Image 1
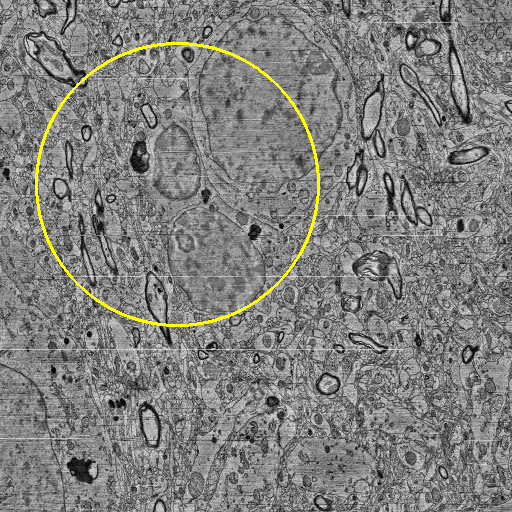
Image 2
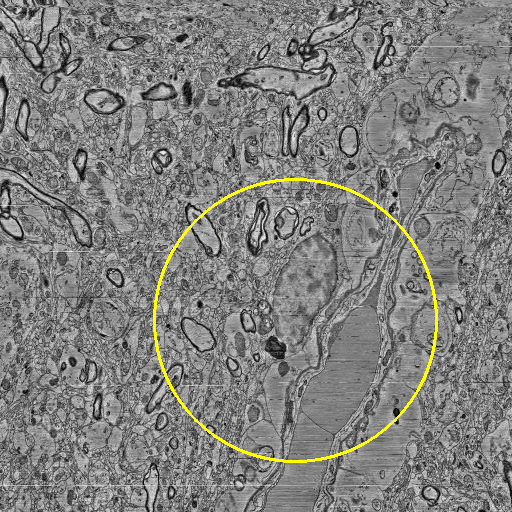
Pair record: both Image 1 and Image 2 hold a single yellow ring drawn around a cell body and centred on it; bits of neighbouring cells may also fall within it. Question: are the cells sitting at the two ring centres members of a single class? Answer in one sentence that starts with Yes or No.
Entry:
Yes, both ring-centre cells in Image 1 and Image 2 are members of one class.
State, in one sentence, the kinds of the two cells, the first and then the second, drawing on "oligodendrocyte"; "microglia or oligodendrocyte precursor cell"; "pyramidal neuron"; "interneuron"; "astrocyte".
In each of the two pictures, the ringed cell is an oligodendrocyte.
